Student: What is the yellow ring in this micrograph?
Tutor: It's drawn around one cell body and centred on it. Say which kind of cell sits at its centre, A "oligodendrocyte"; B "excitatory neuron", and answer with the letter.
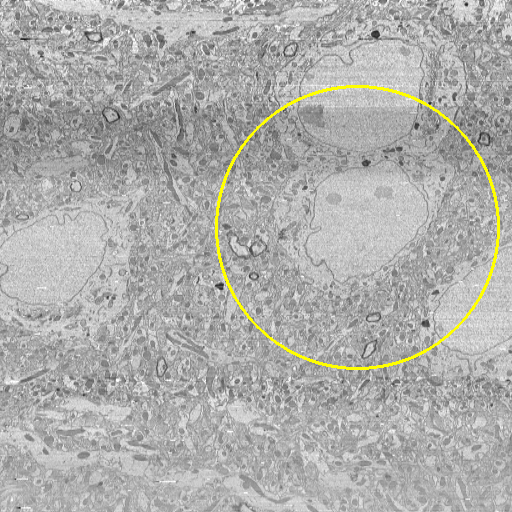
B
